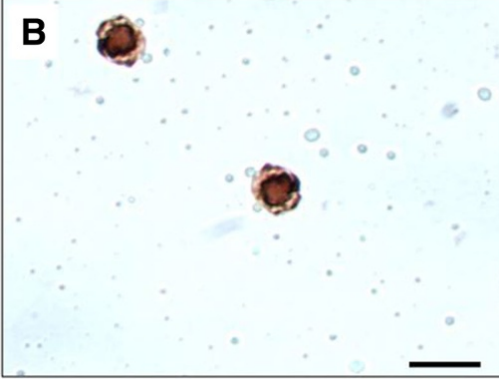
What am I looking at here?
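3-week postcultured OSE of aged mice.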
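Two isolated oocyte-like structures lie apart on a pale background. Each is compact and round, with a densely dark-brown centre and an irregular, lighter brown edge. Many small, clear, round droplets are scattered across the background around them.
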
